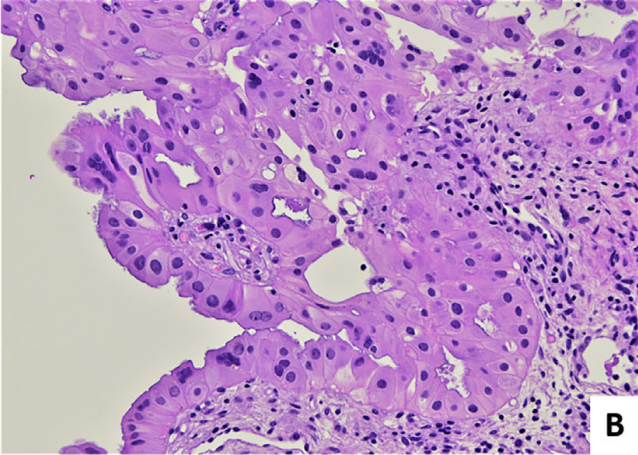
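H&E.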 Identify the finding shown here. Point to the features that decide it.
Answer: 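The epithelial cells have broad cytoplasm stained pink. The cytoplasm takes up much of each cell around the nucleus.
Conclusion: abundant eosinophilic cytoplasm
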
